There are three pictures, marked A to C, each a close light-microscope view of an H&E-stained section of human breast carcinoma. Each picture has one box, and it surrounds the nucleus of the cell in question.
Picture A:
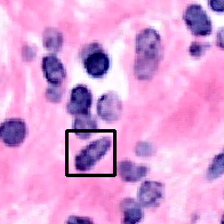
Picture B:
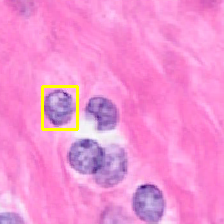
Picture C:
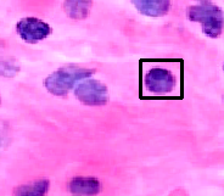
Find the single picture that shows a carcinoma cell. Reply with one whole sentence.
The cell in picture B is the carcinoma cell.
